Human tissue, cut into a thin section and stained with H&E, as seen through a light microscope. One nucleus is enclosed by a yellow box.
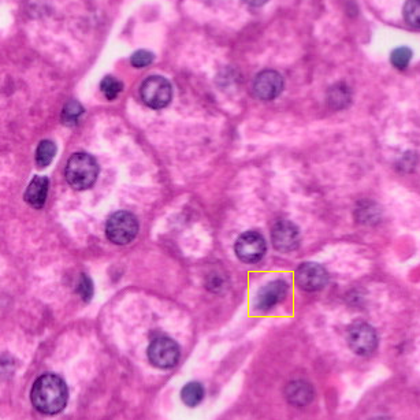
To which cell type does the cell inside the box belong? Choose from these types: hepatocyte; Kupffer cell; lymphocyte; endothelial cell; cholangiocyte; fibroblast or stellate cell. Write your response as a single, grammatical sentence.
As classified here, the cell inside the box is a Kupffer cell.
